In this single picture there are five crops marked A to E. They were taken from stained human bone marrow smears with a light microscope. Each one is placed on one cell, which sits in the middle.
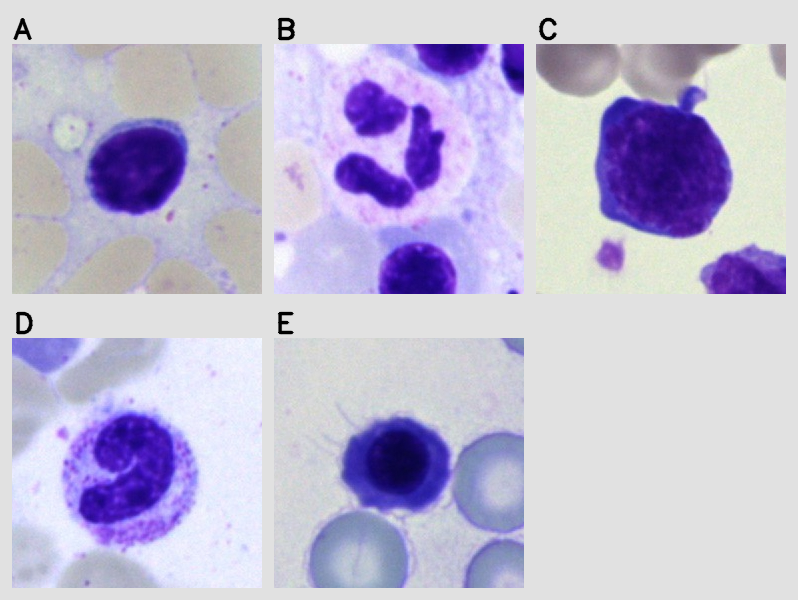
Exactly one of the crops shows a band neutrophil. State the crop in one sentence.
In this set, crop D is the one showing a band neutrophil.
